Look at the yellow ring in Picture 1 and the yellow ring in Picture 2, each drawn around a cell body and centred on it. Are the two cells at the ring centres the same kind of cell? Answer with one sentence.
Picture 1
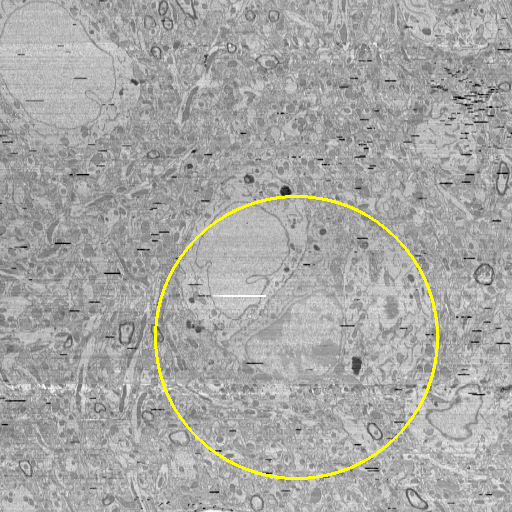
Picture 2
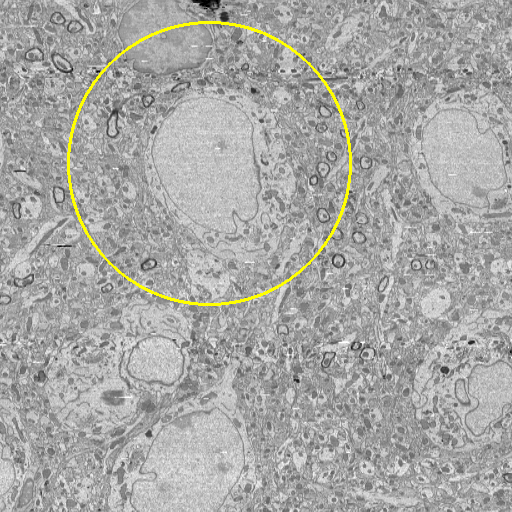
No, they are cells of two kinds.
